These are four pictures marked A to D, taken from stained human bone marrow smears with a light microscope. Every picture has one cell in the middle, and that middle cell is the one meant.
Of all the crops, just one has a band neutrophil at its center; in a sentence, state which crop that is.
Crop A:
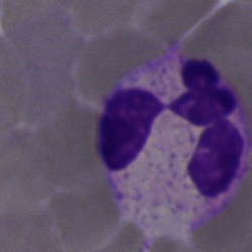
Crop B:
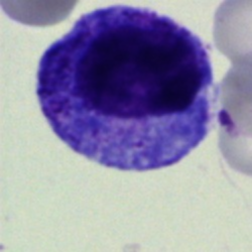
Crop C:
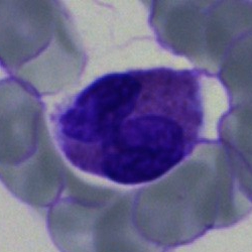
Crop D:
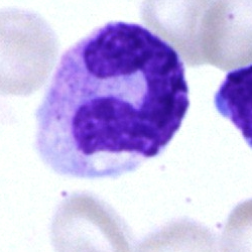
On review of the set, crop D is the one showing a band neutrophil.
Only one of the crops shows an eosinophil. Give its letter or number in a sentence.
Crop C is the crop that displays an eosinophil.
